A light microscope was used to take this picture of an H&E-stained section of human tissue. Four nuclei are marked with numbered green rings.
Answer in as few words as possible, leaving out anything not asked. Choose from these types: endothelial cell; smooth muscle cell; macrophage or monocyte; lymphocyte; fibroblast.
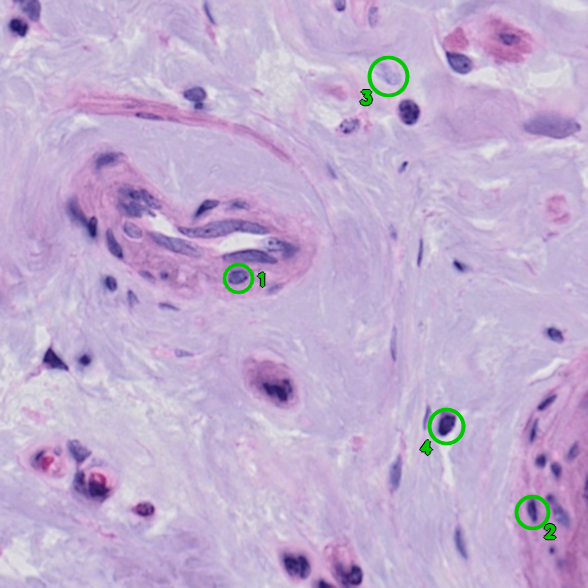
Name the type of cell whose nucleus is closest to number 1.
endothelial cell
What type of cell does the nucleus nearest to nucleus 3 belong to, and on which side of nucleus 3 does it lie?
a lymphocyte; below and to the right of nucleus 3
